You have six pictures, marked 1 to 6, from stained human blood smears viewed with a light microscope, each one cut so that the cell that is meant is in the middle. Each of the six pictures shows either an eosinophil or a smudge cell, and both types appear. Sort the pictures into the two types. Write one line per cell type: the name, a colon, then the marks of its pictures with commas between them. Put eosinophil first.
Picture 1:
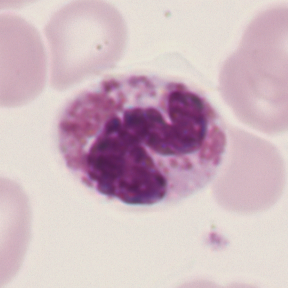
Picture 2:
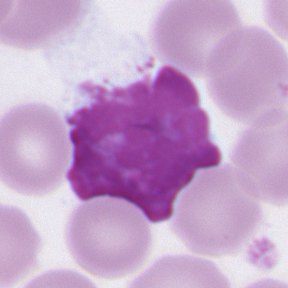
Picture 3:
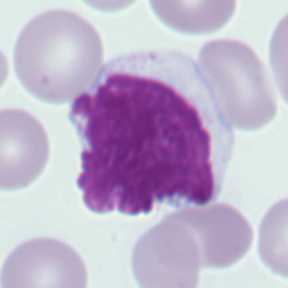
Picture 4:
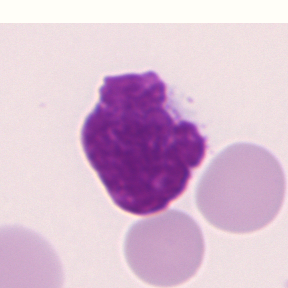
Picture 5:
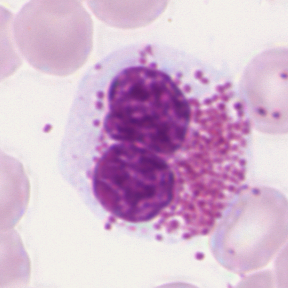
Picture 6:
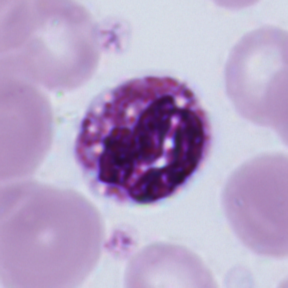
eosinophil: 1, 5, 6
smudge cell: 2, 3, 4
